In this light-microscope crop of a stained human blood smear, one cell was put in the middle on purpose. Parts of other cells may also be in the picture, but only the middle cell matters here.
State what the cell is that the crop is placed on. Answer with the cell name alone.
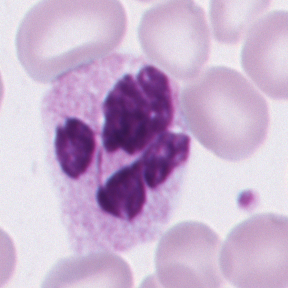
segmented neutrophil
